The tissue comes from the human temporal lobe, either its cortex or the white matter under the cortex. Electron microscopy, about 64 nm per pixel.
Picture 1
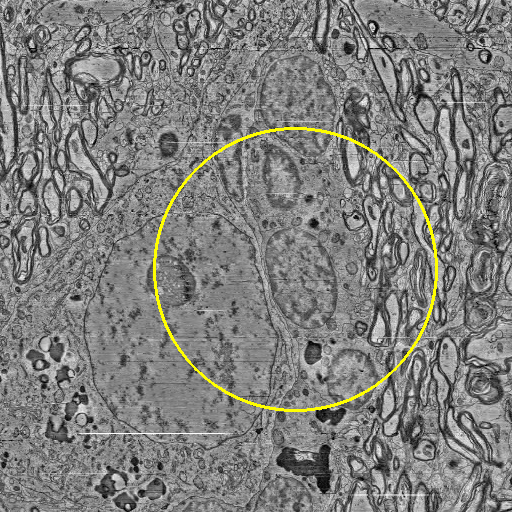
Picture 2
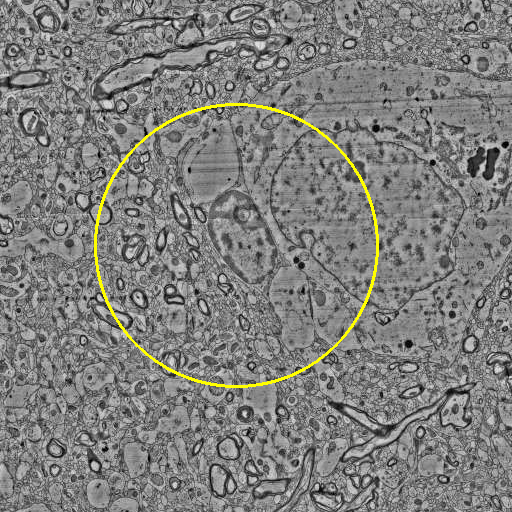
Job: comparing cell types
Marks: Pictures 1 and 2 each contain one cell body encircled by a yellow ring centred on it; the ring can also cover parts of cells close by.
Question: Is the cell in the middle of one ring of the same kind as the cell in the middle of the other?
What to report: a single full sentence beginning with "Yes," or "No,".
No, the cell at the ring centre in Picture 1 and its partner in Picture 2 are of two kinds.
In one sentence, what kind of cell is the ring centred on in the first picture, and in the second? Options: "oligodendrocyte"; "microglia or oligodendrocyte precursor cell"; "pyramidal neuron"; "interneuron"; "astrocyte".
The cell at the centre of the second ring is a microglial cell or oligodendrocyte precursor cell; the first ring's cell is an oligodendrocyte.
